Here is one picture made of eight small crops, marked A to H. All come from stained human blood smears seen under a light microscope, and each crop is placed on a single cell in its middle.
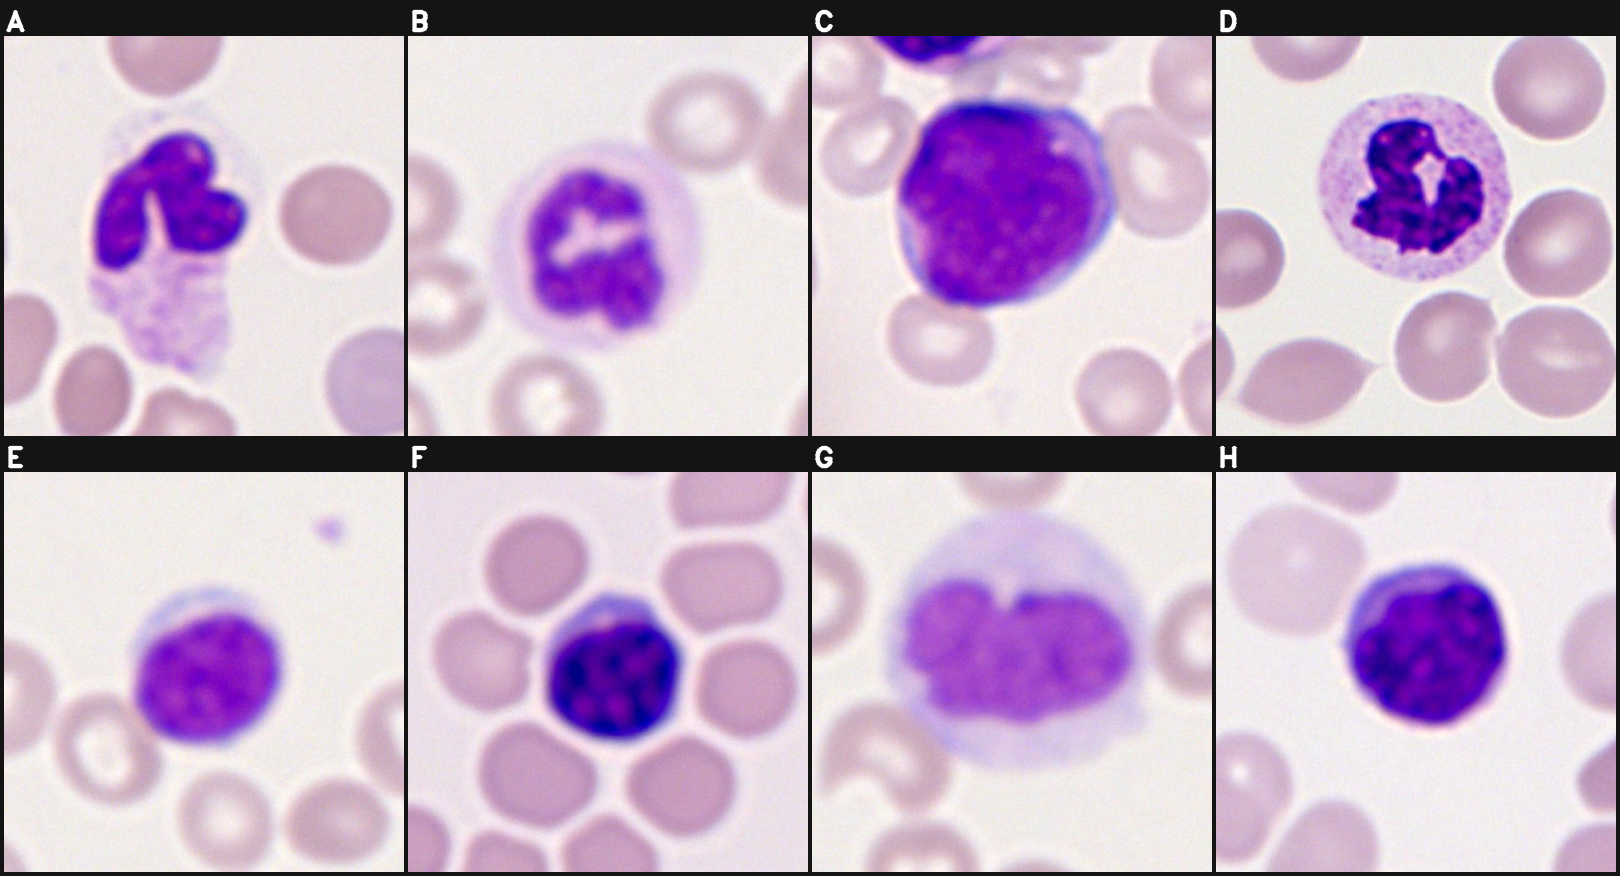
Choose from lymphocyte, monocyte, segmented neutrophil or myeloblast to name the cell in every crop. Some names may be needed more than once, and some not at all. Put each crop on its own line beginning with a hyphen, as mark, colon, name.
- A: segmented neutrophil
- B: segmented neutrophil
- C: myeloblast
- D: segmented neutrophil
- E: lymphocyte
- F: lymphocyte
- G: monocyte
- H: lymphocyte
